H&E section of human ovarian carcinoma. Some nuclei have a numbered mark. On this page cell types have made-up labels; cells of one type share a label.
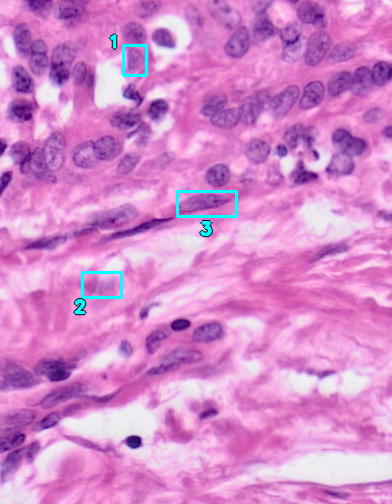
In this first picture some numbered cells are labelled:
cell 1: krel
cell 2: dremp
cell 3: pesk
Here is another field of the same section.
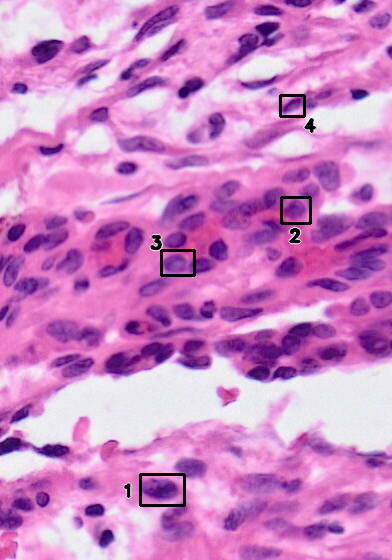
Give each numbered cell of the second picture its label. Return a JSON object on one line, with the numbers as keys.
{"1": "dremp", "2": "pesk", "3": "pesk", "4": "dremp"}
